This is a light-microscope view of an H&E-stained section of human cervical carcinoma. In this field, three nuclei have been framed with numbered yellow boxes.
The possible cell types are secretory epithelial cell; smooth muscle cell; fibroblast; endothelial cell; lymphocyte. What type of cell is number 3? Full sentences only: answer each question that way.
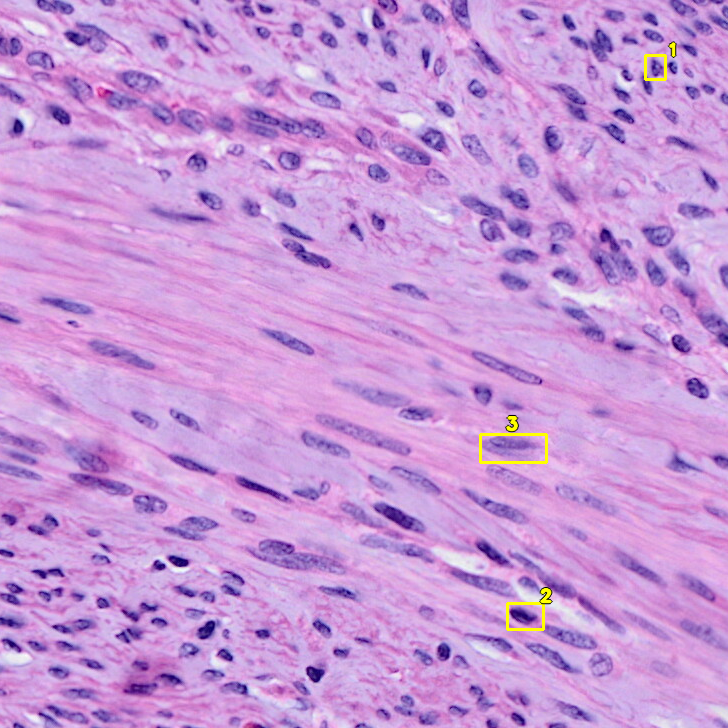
Among the marked cells, number 3 is a fibroblast.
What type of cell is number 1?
Denoted by the label 1 in the section is a fibroblast.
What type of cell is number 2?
Among the marked cells, number 2 is a lymphocyte.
